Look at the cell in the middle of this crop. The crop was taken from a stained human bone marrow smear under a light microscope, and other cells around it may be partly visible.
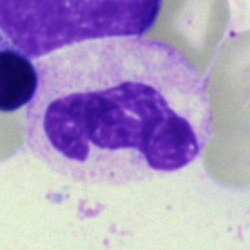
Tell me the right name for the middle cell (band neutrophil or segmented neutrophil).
segmented neutrophil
